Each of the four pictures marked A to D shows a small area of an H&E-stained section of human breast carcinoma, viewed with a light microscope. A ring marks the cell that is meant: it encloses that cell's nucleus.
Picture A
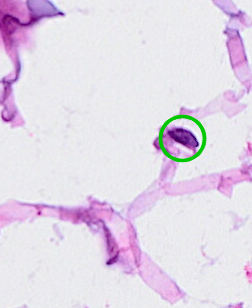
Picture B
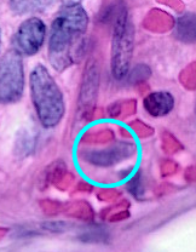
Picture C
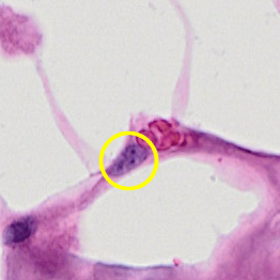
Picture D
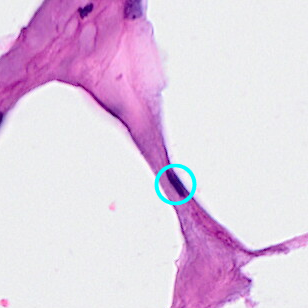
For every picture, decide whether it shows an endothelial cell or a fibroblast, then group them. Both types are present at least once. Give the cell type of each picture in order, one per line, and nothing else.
fibroblast
endothelial cell
endothelial cell
fibroblast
